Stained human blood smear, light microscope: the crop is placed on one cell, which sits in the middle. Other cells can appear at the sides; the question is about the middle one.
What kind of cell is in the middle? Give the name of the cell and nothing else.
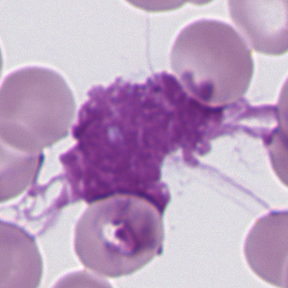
smudge cell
